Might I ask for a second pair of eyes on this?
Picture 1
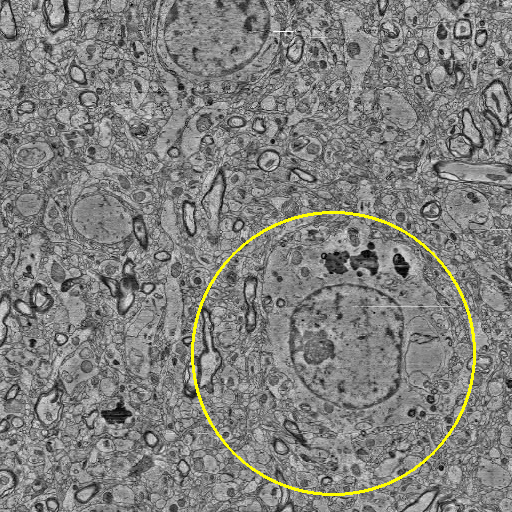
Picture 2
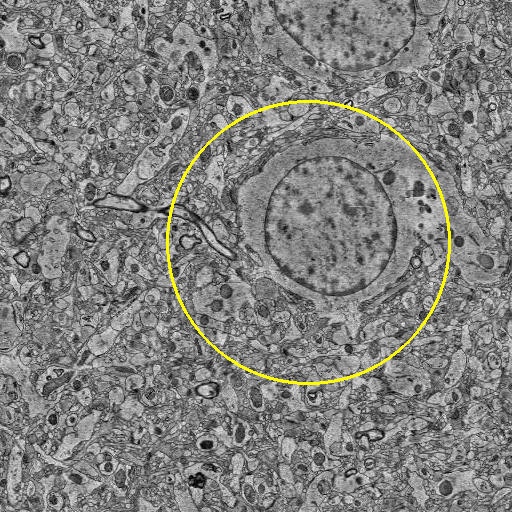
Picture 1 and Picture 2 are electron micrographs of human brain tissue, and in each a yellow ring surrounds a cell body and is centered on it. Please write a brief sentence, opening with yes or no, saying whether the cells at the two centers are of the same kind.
Yes, the cells are of the same kind.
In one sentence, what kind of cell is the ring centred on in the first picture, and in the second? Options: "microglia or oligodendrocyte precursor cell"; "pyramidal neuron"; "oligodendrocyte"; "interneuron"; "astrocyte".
Both the first and the second picture show an astrocyte in the ring.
